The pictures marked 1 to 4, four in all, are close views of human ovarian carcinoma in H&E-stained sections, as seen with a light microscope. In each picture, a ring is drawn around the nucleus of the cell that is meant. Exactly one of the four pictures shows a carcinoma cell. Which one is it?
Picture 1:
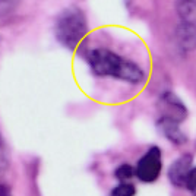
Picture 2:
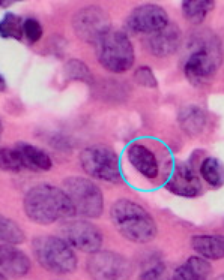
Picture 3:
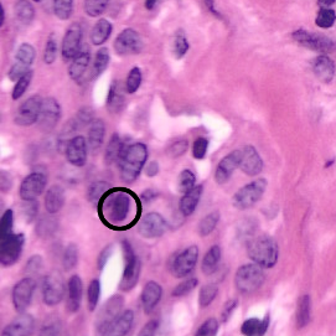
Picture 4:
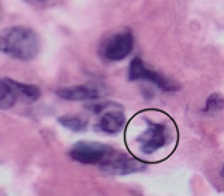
3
